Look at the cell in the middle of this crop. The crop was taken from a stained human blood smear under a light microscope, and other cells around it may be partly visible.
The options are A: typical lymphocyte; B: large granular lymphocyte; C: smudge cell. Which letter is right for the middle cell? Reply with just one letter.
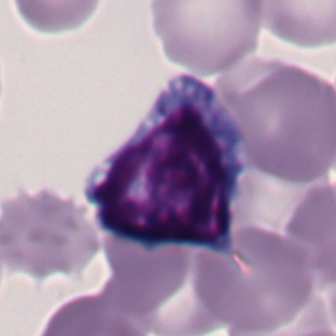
A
